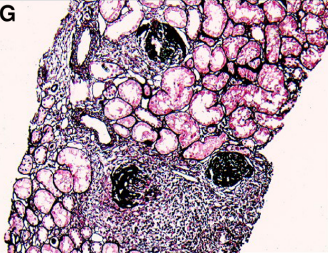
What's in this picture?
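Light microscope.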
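Kidney tissue with sclerotic glomeruli, renal tubules and expanded interstitium is shown. Three glomeruli appear as solid, dark black rounded tufts without visible open capillaries. Tubules in the upper part are outlined by dark basement membranes and have pale pink cytoplasm. In the lower part the interstitium between tubules is broad and fibrous-looking, with many small dark nuclei.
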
